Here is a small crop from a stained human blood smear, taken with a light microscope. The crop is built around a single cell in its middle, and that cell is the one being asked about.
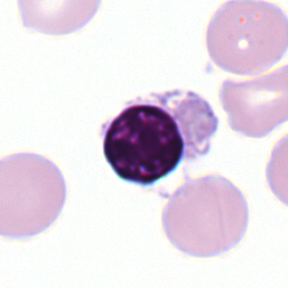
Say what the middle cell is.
normoblast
